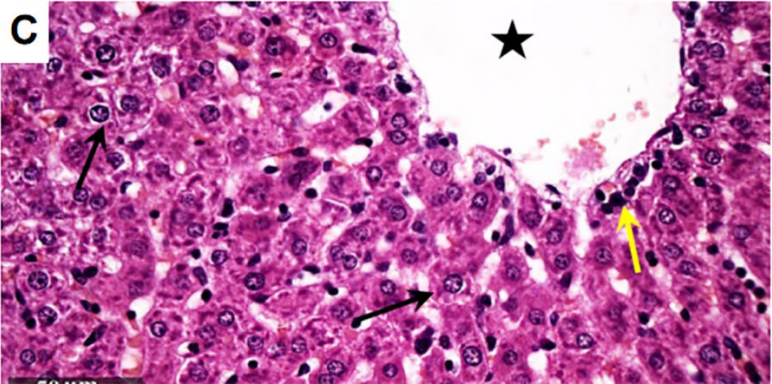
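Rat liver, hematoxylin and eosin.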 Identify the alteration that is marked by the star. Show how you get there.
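A wide open vessel lumen at the top of the field. A few red blood cells lie at its edge. The answer: dilatation of hepatic blood vessels.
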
